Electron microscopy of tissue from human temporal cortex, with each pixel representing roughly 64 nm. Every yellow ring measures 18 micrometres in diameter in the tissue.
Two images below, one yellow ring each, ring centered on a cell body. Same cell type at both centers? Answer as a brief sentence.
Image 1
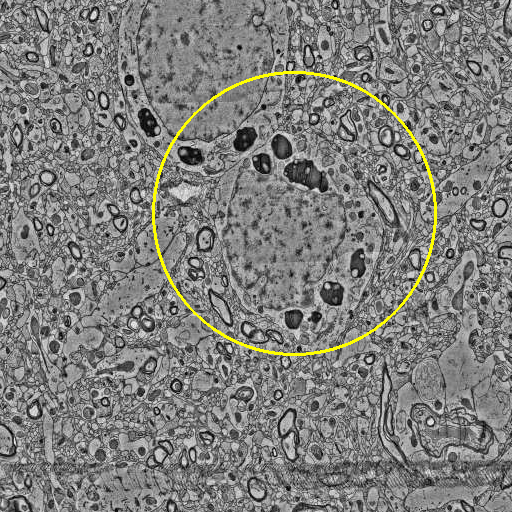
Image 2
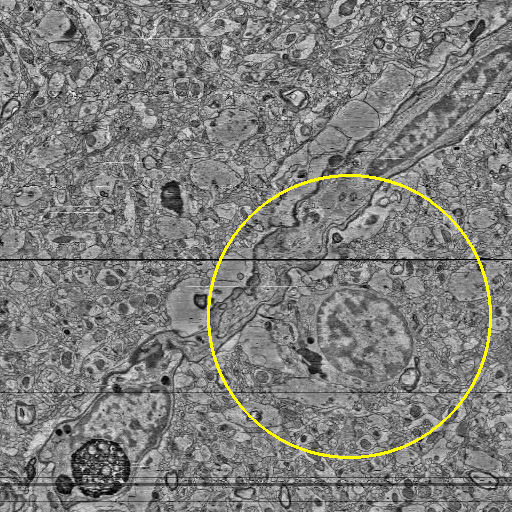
No, the cells are of two separate types.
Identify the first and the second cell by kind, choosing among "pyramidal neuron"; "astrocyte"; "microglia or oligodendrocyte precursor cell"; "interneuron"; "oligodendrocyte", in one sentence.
The one in the first picture is an interneuron, while the one in the second is an oligodendrocyte.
